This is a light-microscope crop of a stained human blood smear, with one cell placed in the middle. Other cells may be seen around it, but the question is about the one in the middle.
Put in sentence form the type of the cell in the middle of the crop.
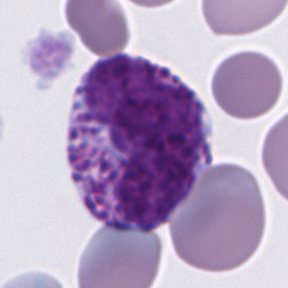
To answer, the cell in the center of the crop is a basophil.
